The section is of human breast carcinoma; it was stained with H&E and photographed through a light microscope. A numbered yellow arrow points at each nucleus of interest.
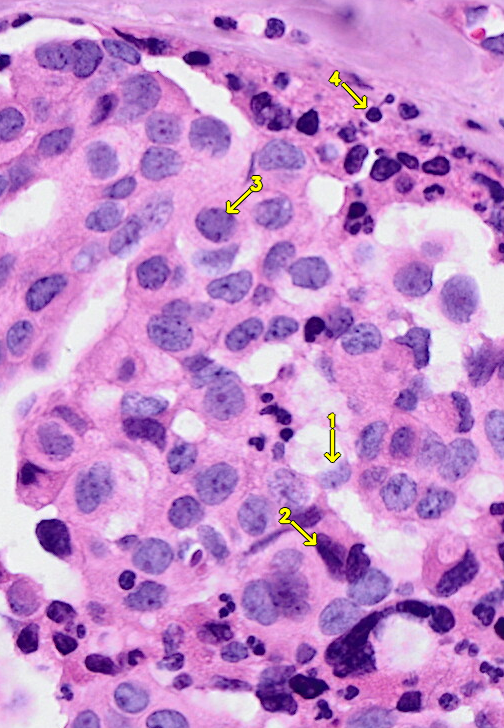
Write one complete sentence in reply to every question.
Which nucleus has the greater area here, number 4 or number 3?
Nucleus 3 is larger, with an area about 4 times that of nucleus 4.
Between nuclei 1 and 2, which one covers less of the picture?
Nucleus 1 covers less area, with nucleus 2 about 1.5 times as large.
